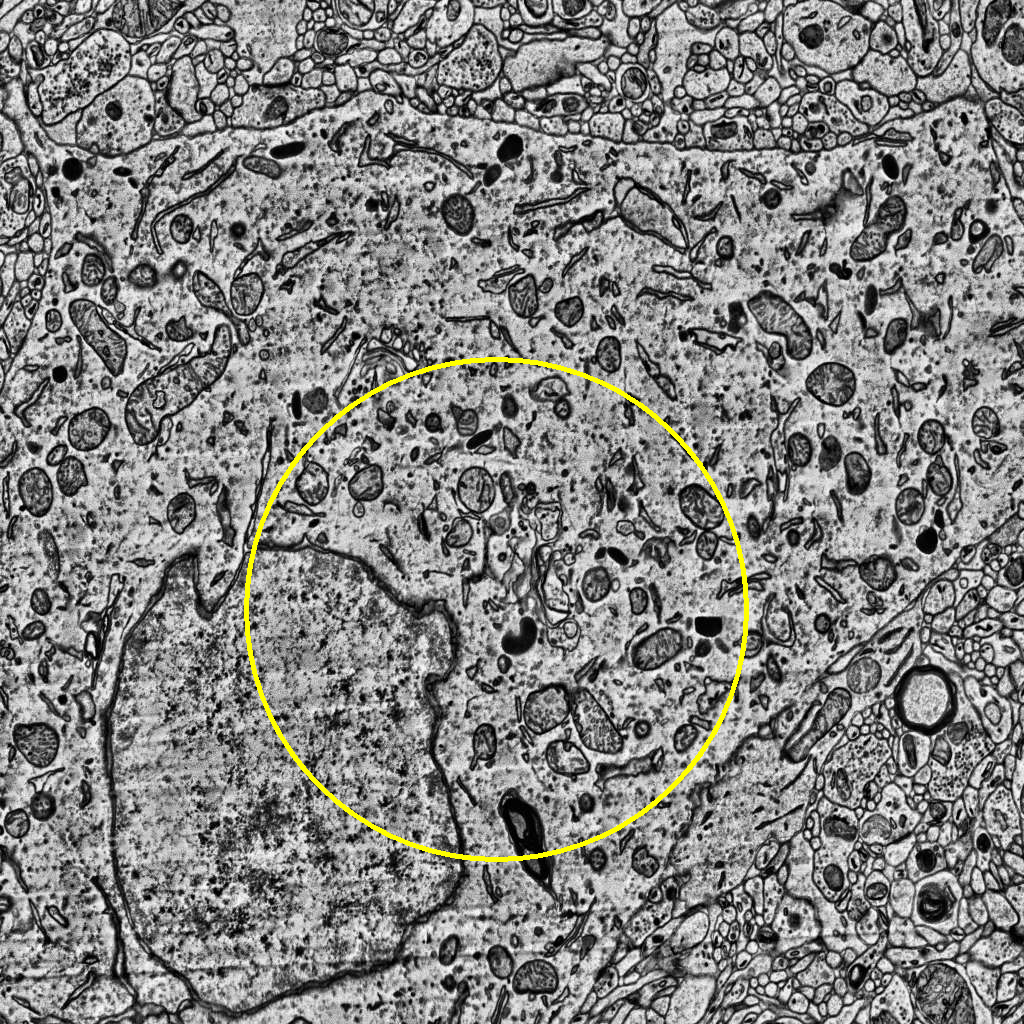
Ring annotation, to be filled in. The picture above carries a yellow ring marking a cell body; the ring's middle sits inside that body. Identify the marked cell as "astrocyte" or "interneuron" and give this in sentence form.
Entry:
The cell at the middle of the ring is an interneuron.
